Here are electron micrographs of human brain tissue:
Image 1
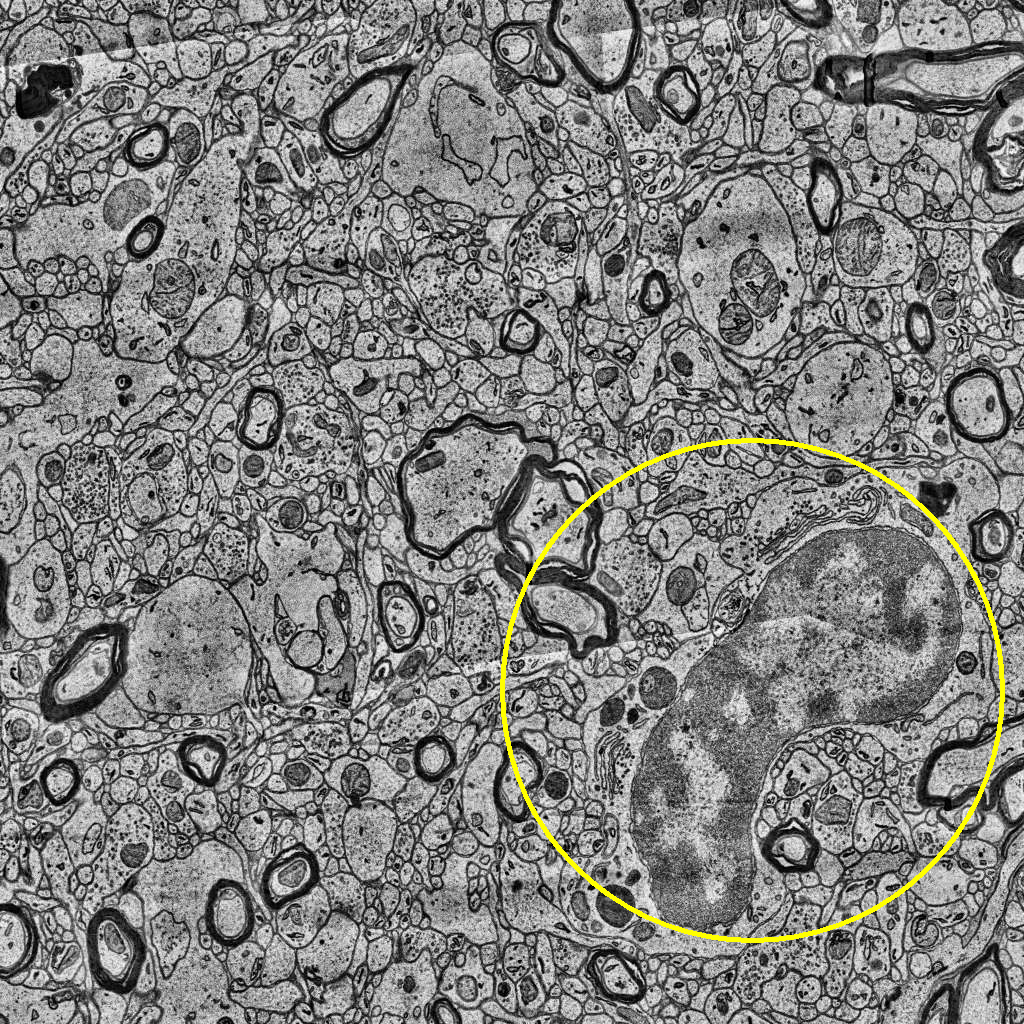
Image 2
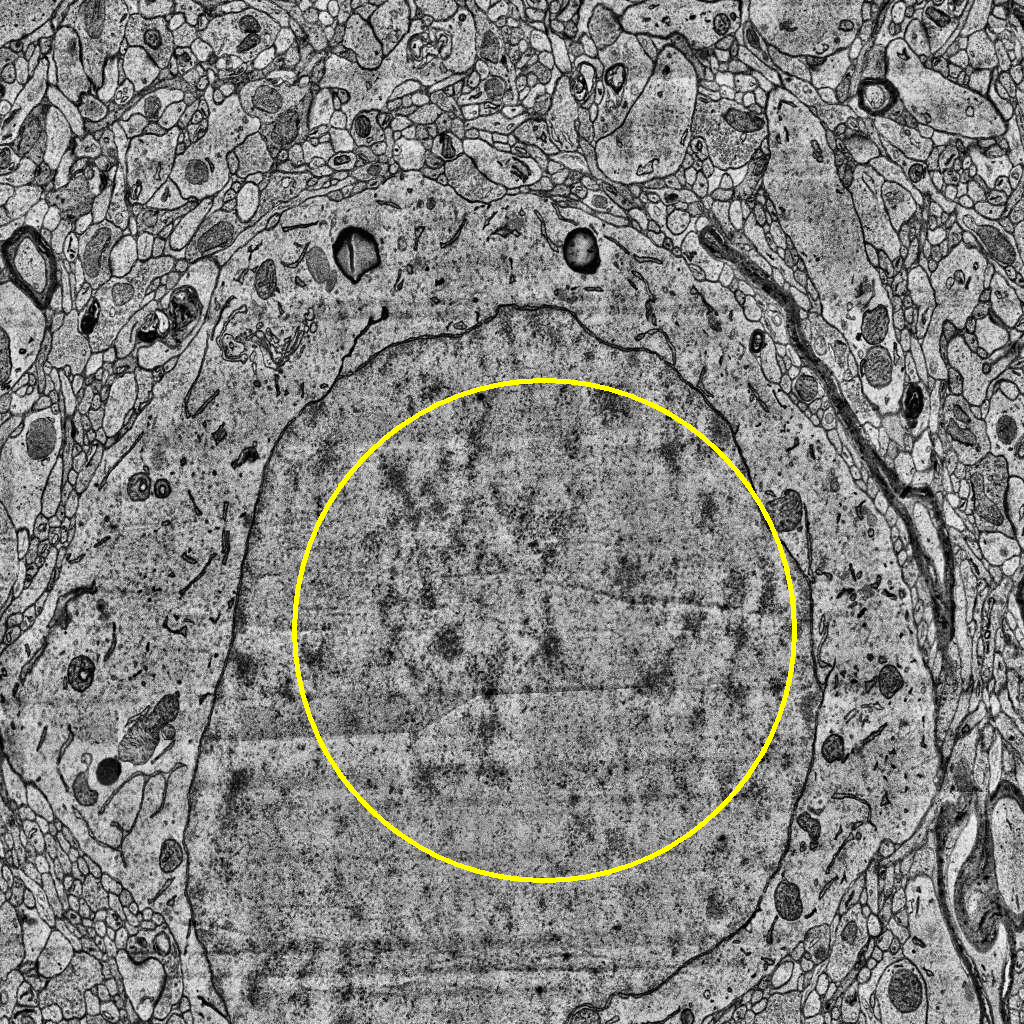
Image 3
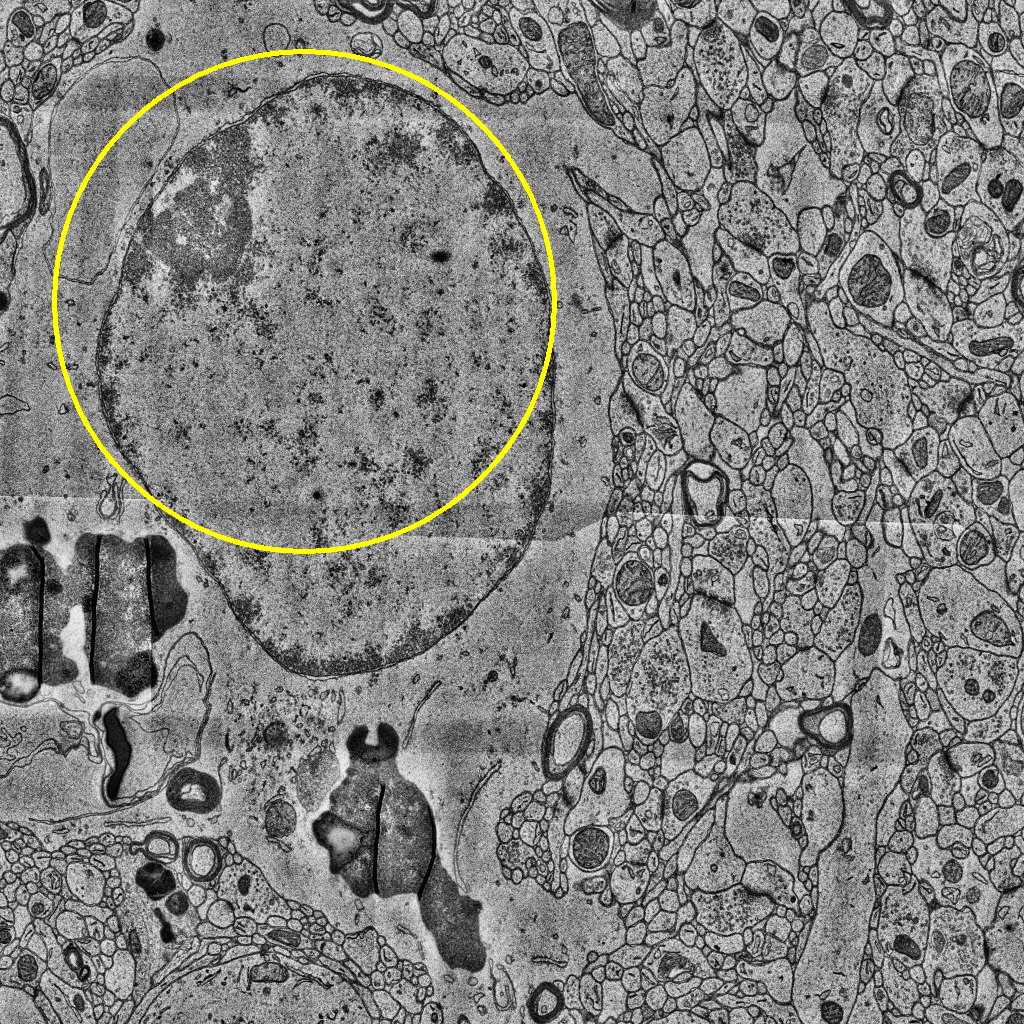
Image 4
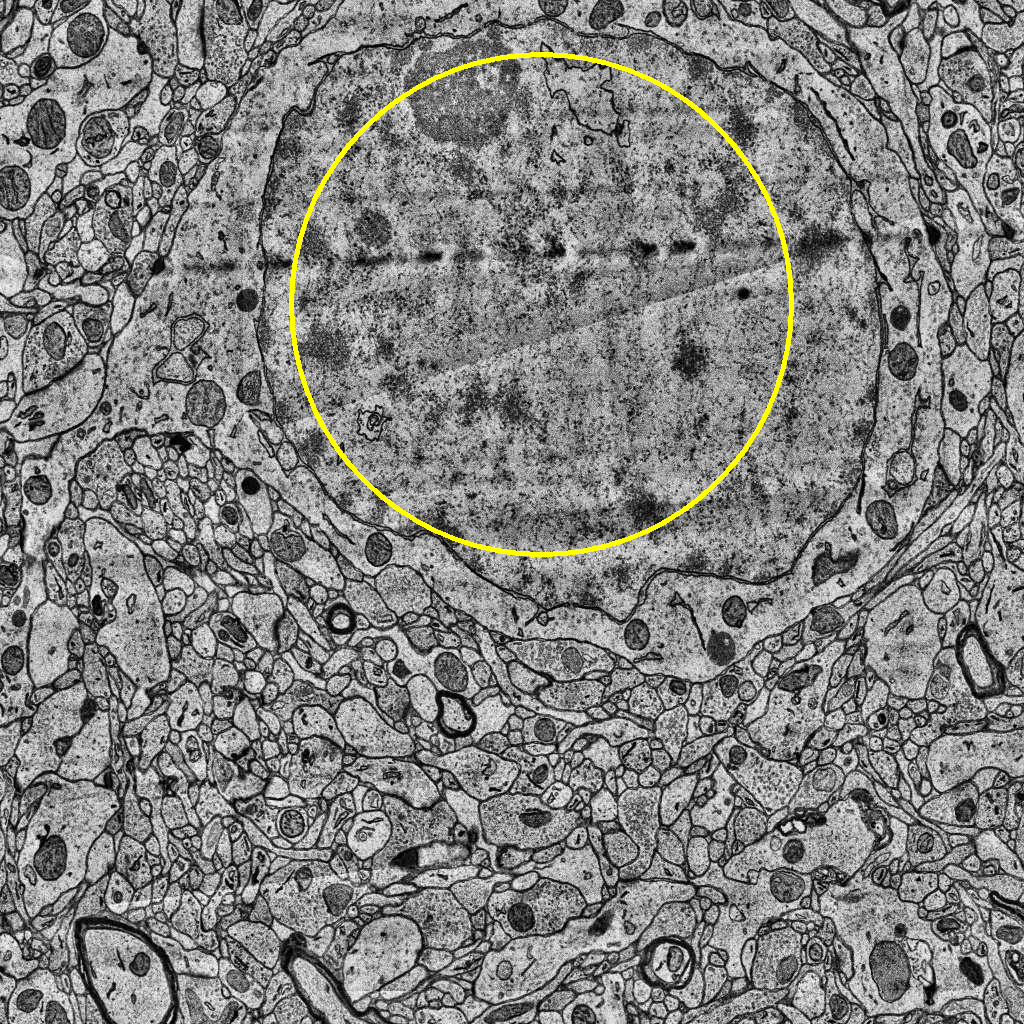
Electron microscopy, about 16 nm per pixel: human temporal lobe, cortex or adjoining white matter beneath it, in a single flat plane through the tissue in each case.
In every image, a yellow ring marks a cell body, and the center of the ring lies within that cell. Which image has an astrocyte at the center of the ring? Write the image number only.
3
